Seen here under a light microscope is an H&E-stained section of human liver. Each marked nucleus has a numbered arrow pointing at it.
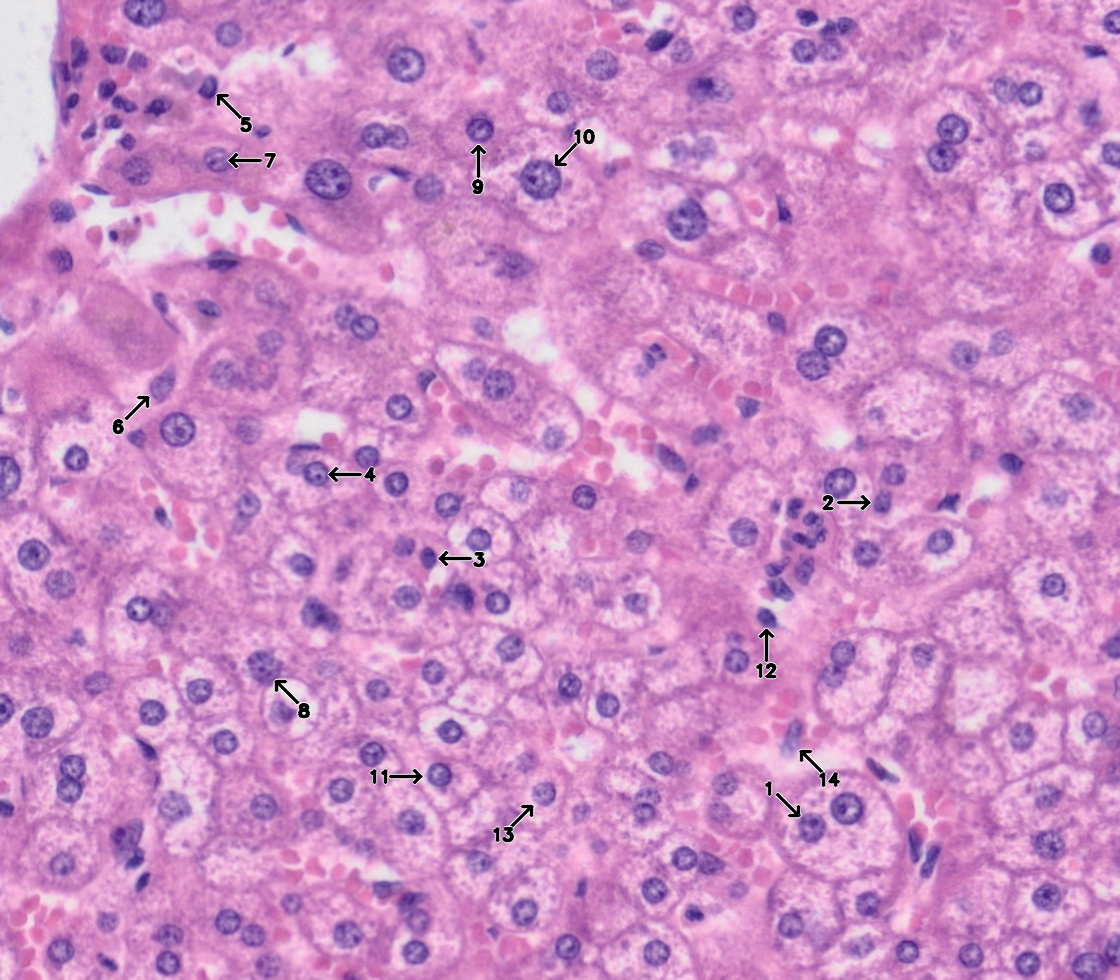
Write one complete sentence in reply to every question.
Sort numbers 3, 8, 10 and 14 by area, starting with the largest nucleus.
Largest first, the order by area is 10, 8, 14, 3.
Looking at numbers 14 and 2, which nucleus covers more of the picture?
Number 14 is larger; its area is about 1.5 times that of number 2.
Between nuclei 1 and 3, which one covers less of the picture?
It is nucleus 3; nucleus 1 has about 2 times its area.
